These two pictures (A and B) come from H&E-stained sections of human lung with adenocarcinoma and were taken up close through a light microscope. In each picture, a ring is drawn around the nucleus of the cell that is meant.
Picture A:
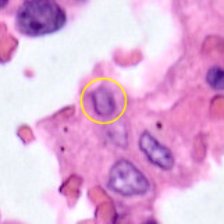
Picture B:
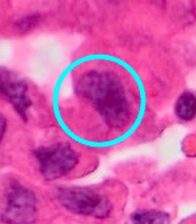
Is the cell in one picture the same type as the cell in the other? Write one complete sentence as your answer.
No; the cell in picture A is a “macrophage or monocyte”, while the one in picture B is a carcinoma cell.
